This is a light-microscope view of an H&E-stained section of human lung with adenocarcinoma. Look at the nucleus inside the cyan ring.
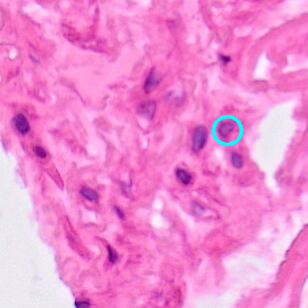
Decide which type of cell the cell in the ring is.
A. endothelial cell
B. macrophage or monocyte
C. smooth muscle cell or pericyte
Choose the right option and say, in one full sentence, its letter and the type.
Identified correctly by option C, the cell in the ring is a smooth muscle cell or pericyte.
